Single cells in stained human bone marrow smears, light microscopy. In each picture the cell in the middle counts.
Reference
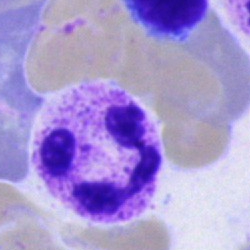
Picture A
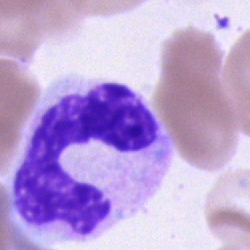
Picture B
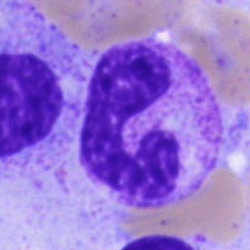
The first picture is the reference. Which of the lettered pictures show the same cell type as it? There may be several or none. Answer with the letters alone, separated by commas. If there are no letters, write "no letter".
no letter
